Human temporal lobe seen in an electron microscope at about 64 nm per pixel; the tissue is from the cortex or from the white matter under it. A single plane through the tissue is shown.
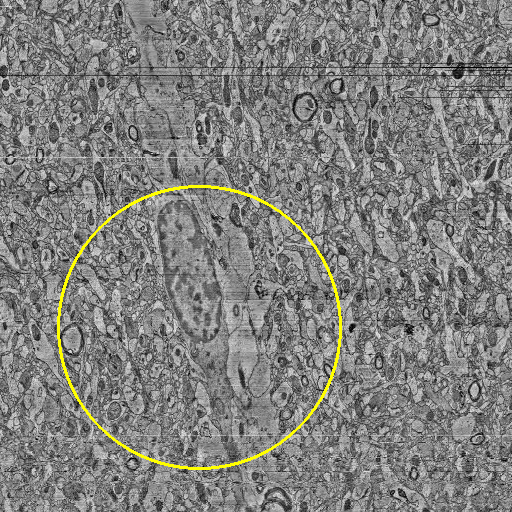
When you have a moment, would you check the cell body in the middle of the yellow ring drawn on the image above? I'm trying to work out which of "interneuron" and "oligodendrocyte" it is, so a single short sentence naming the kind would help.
This cell body belongs to an oligodendrocyte.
